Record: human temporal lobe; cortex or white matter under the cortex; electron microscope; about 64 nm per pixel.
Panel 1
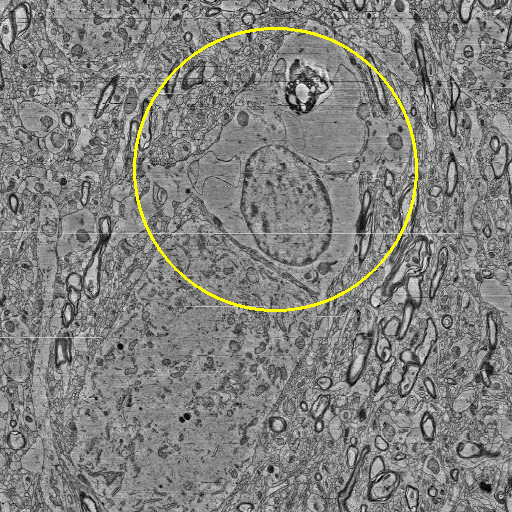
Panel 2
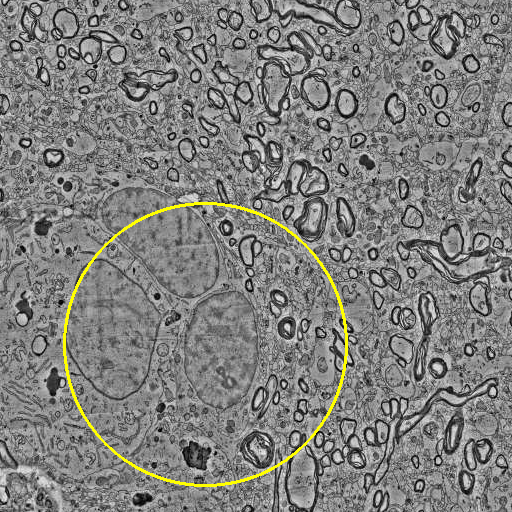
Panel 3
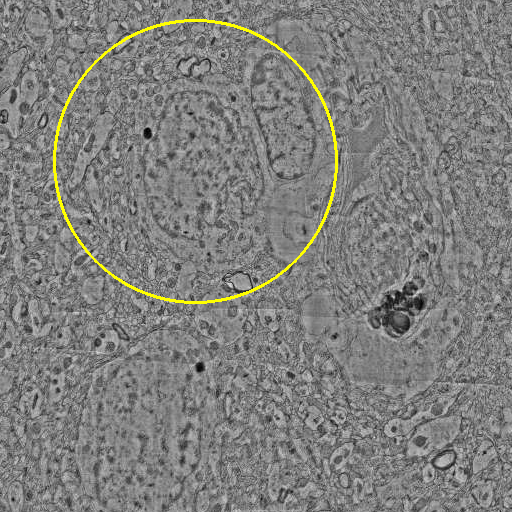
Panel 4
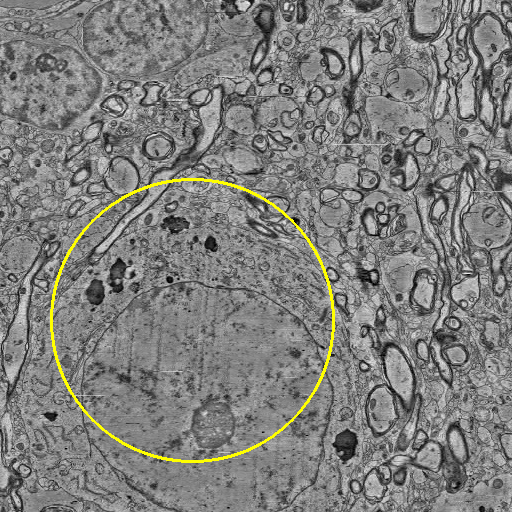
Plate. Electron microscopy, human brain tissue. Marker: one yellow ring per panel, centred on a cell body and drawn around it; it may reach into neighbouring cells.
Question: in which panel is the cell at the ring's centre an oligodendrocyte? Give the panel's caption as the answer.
Panel 2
